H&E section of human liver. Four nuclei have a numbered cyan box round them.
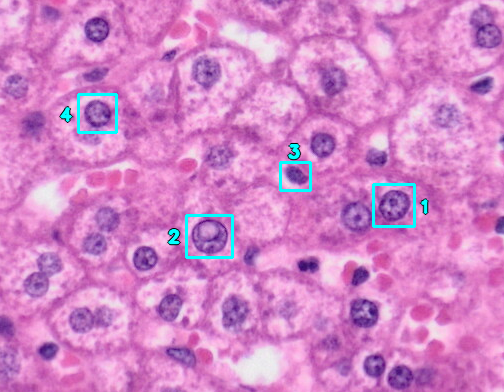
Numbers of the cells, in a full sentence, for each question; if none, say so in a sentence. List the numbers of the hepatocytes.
Here, the cells that carry numbers 1, 2 and 4 are hepatocytes.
